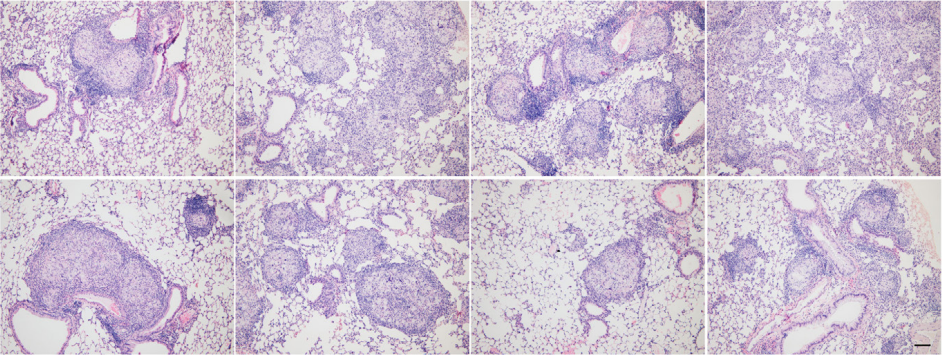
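Eight views of lung tissue in which granulomas stand out as round to oval nodules of densely packed cells within the alveolar parenchyma. The background is a lacy network of thin alveolar walls stained pink and purple, interrupted by open airways and blood vessels with pink walls. The nodules are cellular and stain blue-purple, with pale pink centers in places; several have a denser dark-blue rim of small round nuclei at their edge, and some sit beside airways or vessels. Their size and number differ from view to view, from small clustered nodules to large single masses, and in some views the surrounding alveolar tissue looks thickened and more cellular.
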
